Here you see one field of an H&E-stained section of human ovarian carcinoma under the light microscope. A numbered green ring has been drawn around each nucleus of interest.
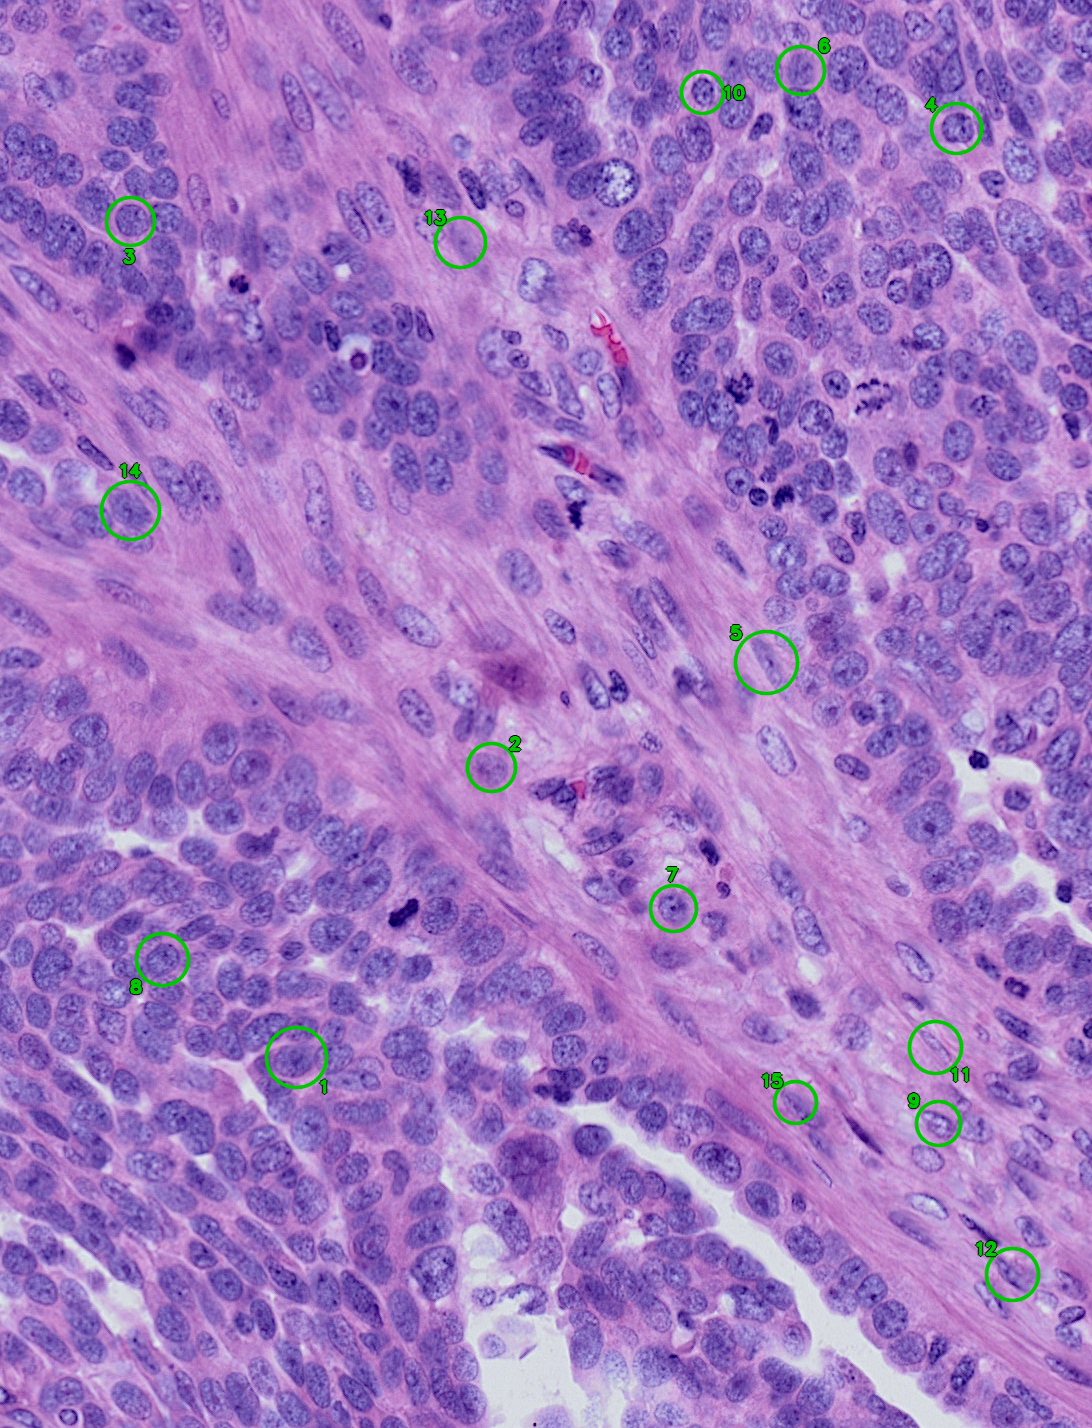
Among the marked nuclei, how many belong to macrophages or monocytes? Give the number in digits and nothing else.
2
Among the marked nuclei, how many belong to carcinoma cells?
5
